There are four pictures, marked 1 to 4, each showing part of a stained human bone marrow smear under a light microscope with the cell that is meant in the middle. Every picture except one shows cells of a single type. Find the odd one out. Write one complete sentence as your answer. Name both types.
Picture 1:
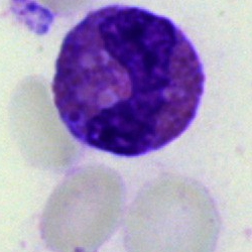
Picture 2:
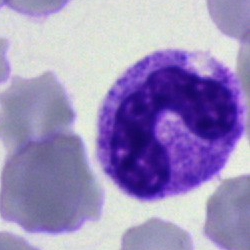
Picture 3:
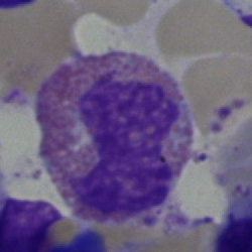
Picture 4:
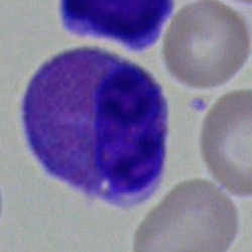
The others show eosinophils, but picture 2 shows a band neutrophil.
